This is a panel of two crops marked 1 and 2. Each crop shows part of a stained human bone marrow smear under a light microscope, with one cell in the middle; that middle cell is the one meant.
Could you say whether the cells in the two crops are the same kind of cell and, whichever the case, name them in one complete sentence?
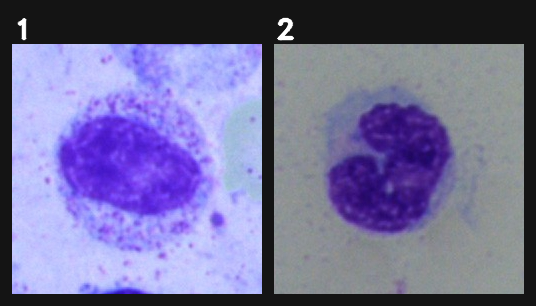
No, a myelocyte lies at the centre of crop 1, and a monocyte lies at the centre of crop 2.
